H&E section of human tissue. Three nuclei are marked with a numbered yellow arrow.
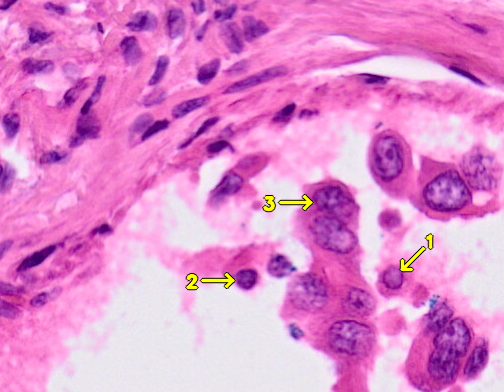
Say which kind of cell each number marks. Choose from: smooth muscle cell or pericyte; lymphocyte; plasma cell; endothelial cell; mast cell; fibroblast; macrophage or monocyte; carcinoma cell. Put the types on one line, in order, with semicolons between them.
macrophage or monocyte; lymphocyte; carcinoma cell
